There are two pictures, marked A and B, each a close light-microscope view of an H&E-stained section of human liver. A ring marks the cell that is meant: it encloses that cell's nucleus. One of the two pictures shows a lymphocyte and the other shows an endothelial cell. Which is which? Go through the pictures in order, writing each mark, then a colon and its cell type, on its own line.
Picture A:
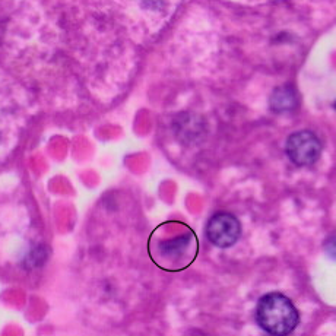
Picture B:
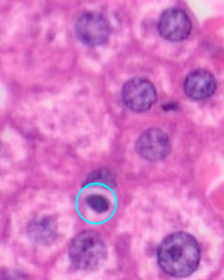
A: endothelial cell
B: lymphocyte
